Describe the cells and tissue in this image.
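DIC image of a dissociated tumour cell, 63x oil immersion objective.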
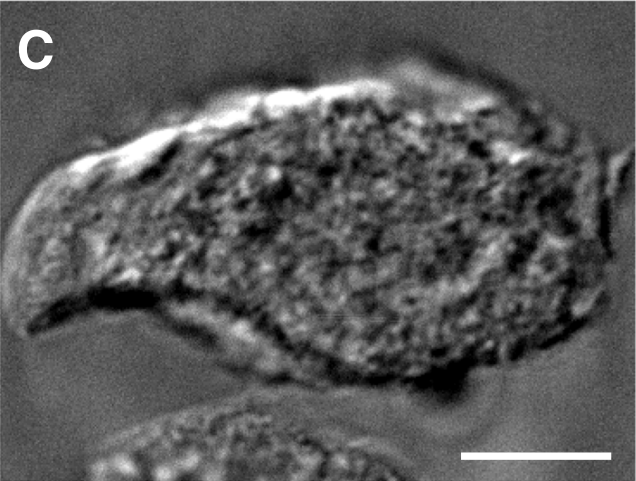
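The surface and cytoplasm have a coarse, mottled, granular texture of light and dark specks. A raised bright rim runs along the upper edge. The edge of a second cell appears at the bottom of the field.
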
